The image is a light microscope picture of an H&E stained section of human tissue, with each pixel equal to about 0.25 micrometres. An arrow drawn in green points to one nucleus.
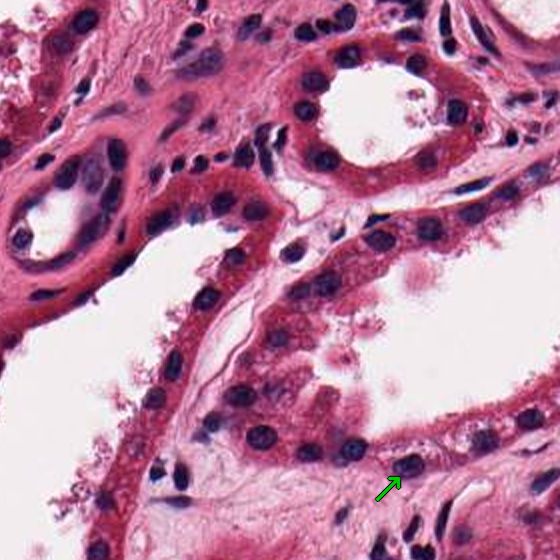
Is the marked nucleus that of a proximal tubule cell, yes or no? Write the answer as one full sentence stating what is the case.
Yes, a proximal tubule cell contains the marked nucleus.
